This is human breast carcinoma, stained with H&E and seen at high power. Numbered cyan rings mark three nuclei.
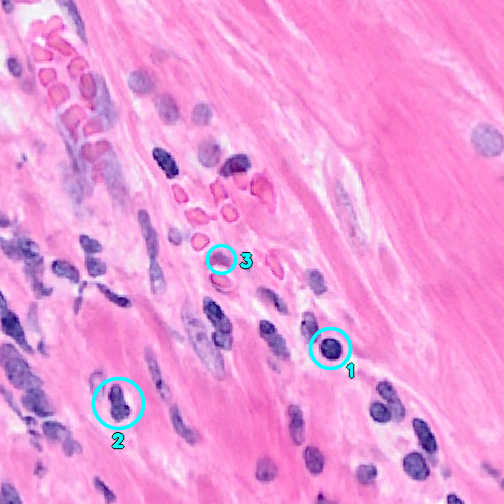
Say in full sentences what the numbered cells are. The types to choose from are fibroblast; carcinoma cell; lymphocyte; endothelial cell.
Cell 1 is a lymphocyte, cell 2 is a lymphocyte and cell 3 is an endothelial cell.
